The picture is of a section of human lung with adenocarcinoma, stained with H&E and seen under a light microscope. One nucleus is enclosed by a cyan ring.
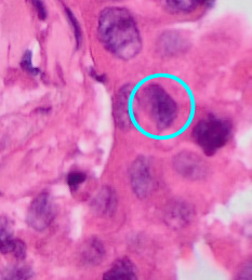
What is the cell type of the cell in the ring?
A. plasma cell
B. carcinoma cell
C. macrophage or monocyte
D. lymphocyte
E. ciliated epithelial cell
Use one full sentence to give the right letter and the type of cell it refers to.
The correct option is B, as the cell in the ring is a carcinoma cell.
